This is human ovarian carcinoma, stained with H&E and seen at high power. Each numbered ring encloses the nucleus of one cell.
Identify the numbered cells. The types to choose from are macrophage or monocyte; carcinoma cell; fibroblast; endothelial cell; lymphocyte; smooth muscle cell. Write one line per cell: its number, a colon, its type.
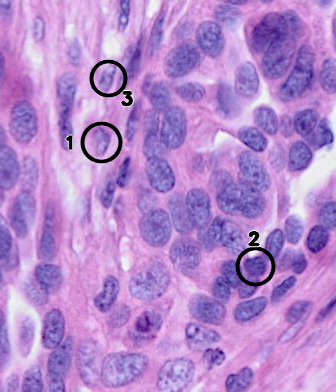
1: fibroblast
2: carcinoma cell
3: fibroblast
